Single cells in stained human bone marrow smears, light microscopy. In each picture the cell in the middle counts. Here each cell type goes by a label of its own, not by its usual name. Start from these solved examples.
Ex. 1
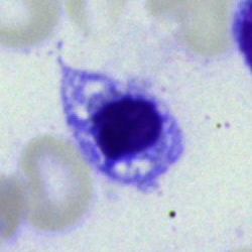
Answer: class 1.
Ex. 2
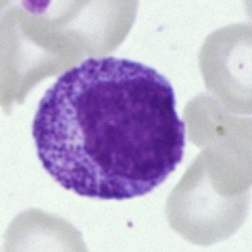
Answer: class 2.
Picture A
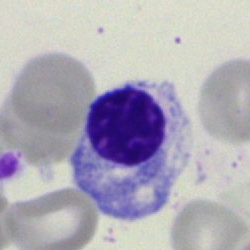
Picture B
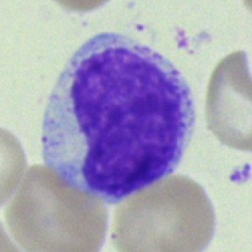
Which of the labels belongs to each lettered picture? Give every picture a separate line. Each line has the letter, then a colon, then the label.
A: class 1.
B: class 2.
